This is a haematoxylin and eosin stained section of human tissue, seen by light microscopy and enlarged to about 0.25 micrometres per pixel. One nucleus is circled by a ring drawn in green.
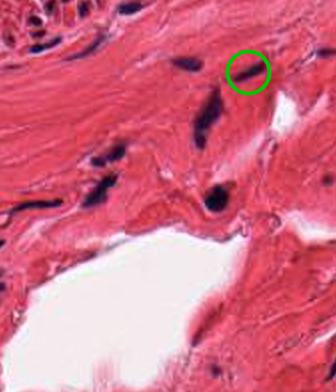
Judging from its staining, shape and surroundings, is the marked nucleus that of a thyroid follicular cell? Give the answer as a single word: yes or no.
no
